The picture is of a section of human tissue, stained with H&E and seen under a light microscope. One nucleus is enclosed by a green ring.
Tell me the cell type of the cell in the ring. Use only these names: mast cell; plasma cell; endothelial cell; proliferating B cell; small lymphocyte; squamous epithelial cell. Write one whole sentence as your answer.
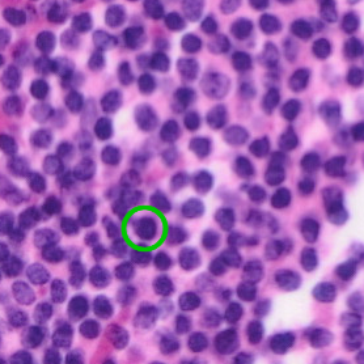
The cell in the ring is a small lymphocyte.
